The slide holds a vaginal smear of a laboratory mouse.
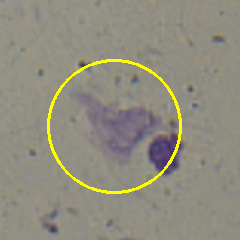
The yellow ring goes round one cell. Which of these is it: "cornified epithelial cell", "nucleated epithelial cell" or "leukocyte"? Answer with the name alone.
cornified epithelial cell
